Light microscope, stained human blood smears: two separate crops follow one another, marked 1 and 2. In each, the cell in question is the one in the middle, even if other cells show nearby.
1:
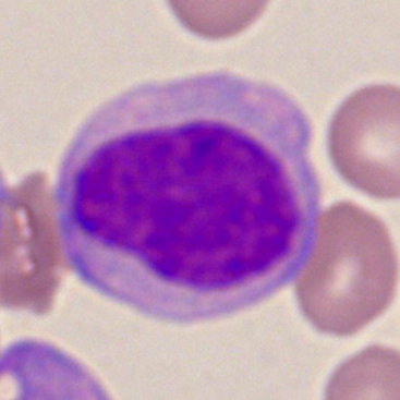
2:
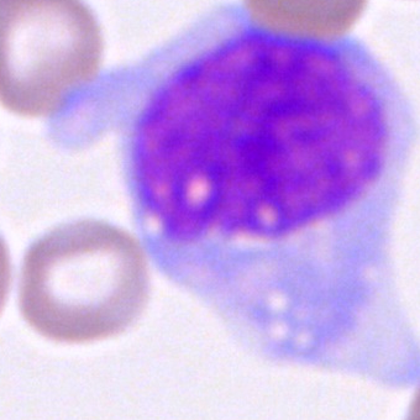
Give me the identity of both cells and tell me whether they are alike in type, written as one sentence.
Yes, monocytes are present at the centre of both crops.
